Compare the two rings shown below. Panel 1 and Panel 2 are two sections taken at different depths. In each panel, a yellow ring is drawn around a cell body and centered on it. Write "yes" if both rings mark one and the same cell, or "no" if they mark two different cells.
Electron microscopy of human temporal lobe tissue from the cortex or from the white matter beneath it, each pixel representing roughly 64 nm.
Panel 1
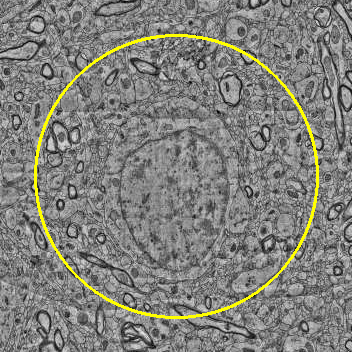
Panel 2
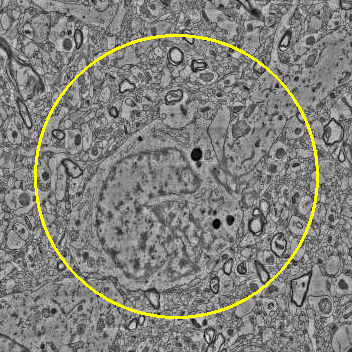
no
